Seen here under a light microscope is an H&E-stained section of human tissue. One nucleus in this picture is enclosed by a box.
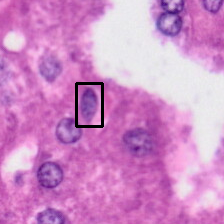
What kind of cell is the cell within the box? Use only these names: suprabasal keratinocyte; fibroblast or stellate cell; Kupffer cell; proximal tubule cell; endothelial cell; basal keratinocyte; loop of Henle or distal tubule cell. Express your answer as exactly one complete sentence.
Microscopically, the cell within the box is categorized as a Kupffer cell.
